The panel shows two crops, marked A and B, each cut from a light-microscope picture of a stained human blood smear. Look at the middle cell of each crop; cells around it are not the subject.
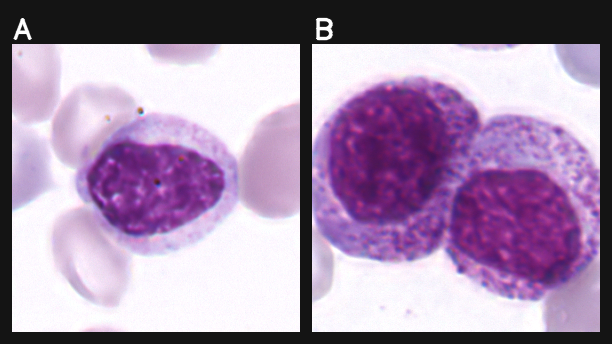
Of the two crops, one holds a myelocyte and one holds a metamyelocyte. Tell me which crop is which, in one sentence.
The cell that crop A centres on is a metamyelocyte, and the cell that crop B centres on is a myelocyte.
